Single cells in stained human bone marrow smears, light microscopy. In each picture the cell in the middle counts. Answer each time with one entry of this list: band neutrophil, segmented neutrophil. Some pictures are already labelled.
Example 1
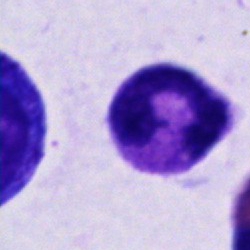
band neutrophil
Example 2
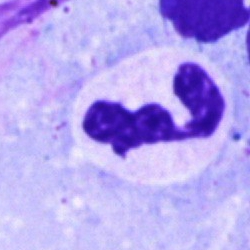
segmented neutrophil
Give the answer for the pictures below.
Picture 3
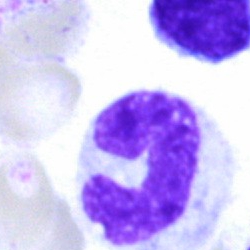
band neutrophil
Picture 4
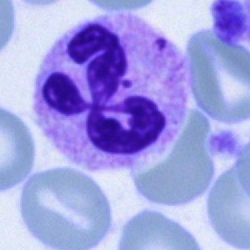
segmented neutrophil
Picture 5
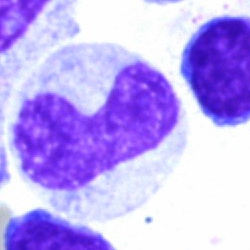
band neutrophil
